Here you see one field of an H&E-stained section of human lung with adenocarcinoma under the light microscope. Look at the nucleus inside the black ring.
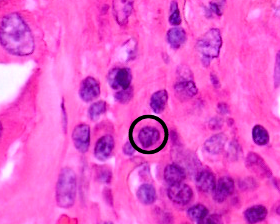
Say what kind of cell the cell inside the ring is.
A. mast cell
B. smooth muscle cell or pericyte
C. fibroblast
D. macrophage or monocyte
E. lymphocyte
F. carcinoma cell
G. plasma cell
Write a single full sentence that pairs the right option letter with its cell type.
Under option G, the cell inside the ring is listed as a plasma cell, which is correct.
